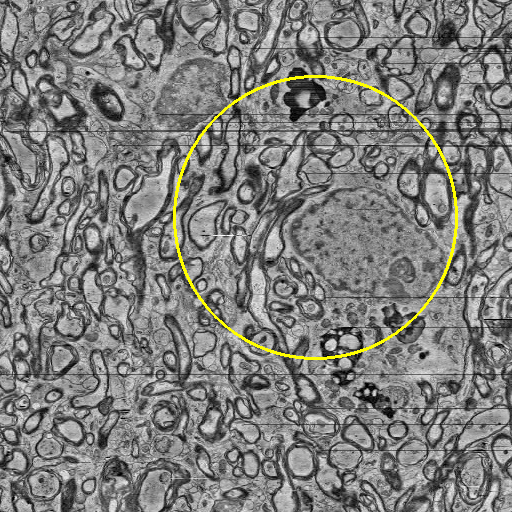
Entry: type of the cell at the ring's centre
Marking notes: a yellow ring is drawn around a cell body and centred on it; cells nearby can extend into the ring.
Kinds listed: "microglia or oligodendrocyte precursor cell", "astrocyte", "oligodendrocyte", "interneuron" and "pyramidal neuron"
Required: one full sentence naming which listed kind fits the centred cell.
My entry names an astrocyte as the cell whose body the yellow ring centres on.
